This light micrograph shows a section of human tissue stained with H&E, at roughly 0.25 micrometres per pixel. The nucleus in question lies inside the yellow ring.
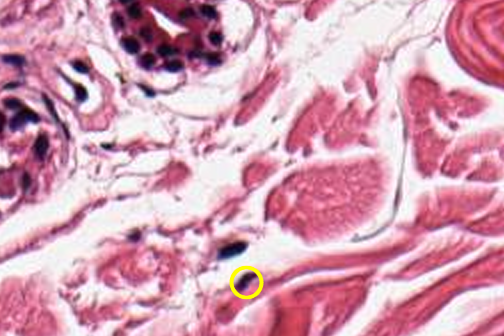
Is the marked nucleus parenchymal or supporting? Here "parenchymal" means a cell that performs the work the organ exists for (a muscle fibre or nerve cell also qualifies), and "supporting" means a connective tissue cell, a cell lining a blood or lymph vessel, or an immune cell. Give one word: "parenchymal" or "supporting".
supporting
